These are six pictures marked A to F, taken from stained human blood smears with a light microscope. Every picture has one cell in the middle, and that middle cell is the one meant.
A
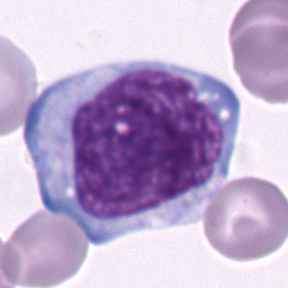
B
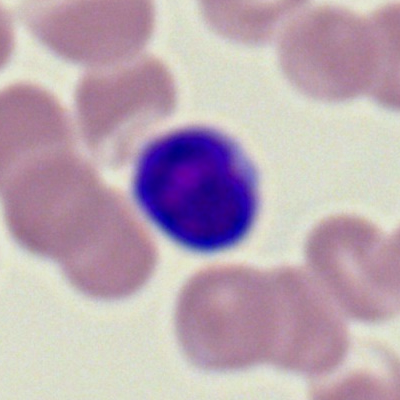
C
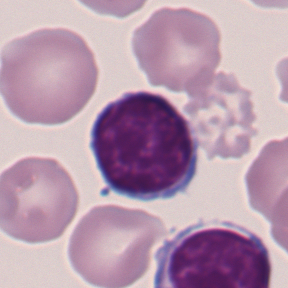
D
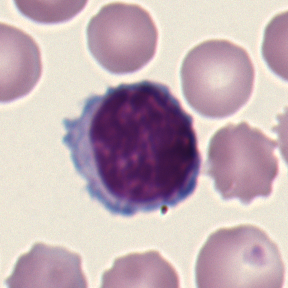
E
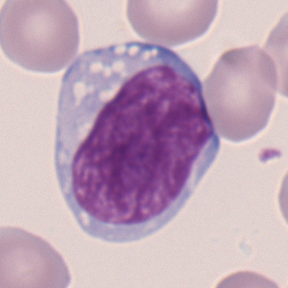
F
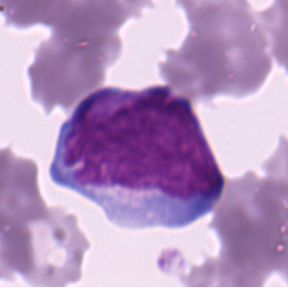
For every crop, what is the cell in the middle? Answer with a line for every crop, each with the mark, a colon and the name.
A: blast
B: lymphocyte
C: lymphocyte
D: lymphocyte
E: blast
F: blast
